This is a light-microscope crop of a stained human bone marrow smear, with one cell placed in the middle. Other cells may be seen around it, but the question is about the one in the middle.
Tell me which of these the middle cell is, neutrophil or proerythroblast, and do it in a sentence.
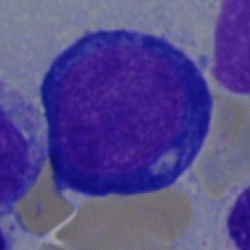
The central cell, amid any neighbouring cells, is a proerythroblast.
